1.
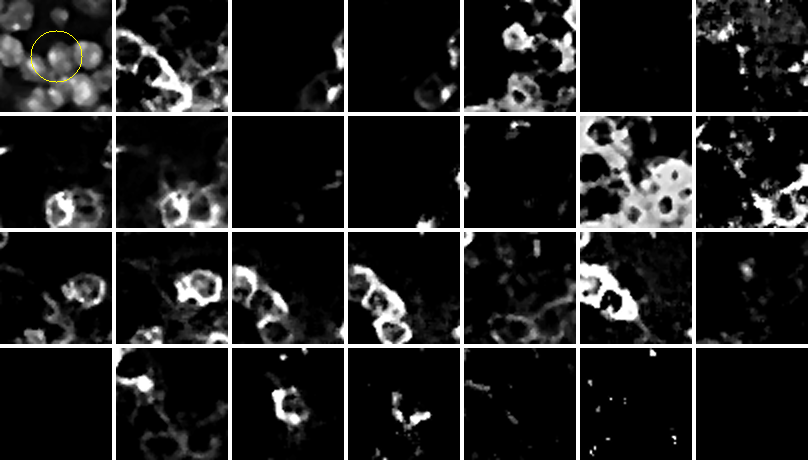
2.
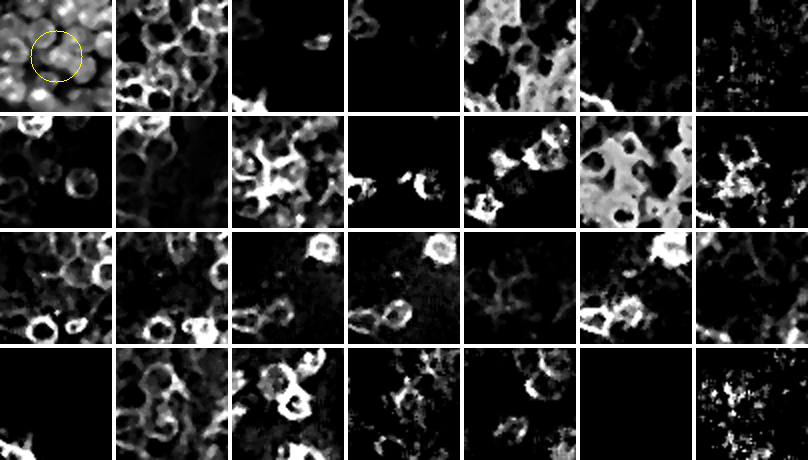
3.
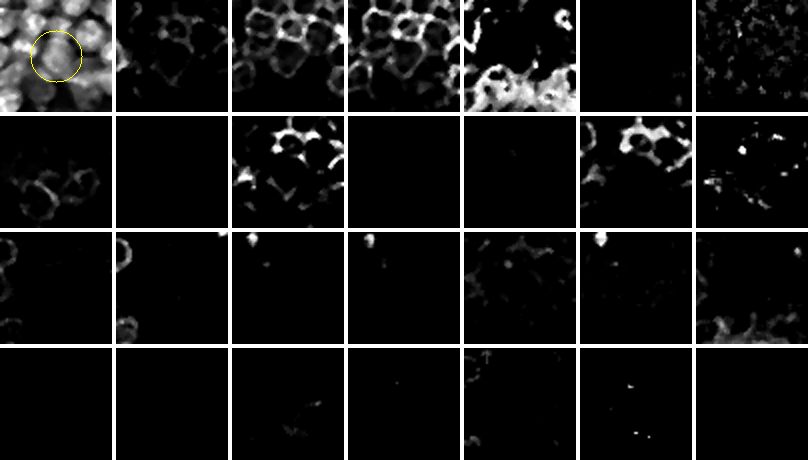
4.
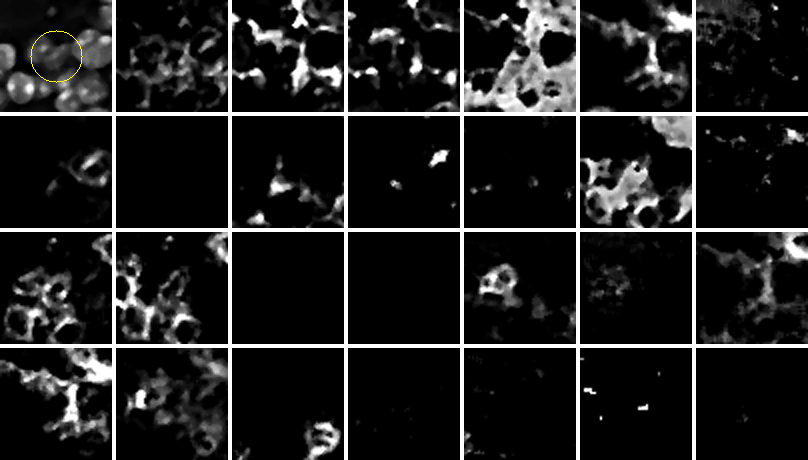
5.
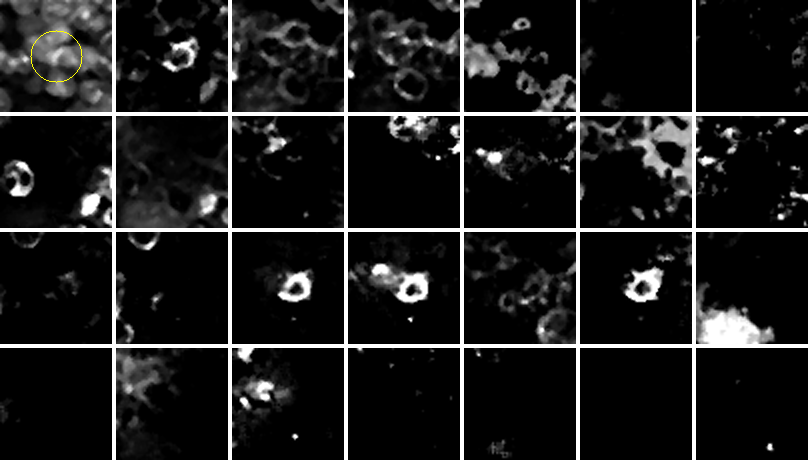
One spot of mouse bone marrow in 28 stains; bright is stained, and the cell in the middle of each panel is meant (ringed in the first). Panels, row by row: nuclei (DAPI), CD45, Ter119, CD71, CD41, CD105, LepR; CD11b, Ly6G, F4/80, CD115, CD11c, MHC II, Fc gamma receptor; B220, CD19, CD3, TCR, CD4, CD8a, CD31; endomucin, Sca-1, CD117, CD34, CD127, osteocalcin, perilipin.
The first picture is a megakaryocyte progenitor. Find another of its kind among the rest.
Picture 2.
